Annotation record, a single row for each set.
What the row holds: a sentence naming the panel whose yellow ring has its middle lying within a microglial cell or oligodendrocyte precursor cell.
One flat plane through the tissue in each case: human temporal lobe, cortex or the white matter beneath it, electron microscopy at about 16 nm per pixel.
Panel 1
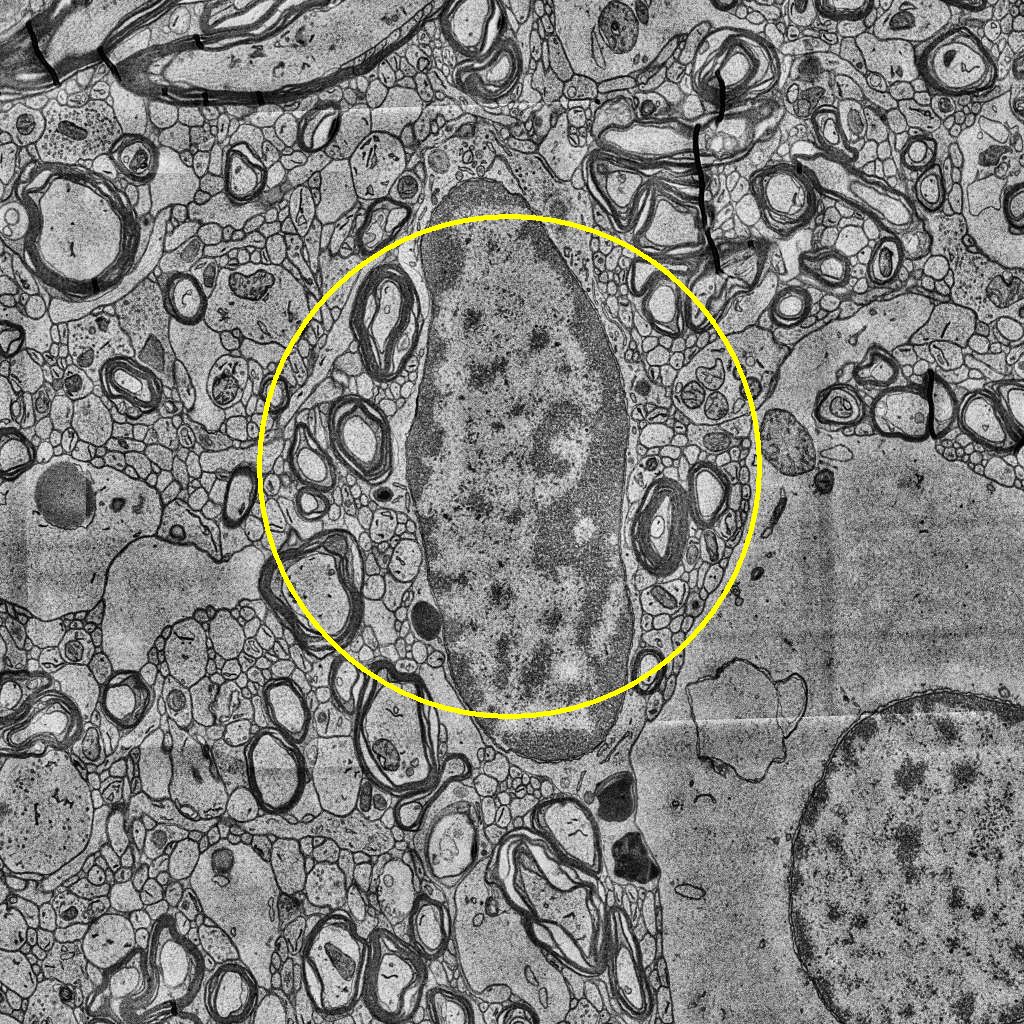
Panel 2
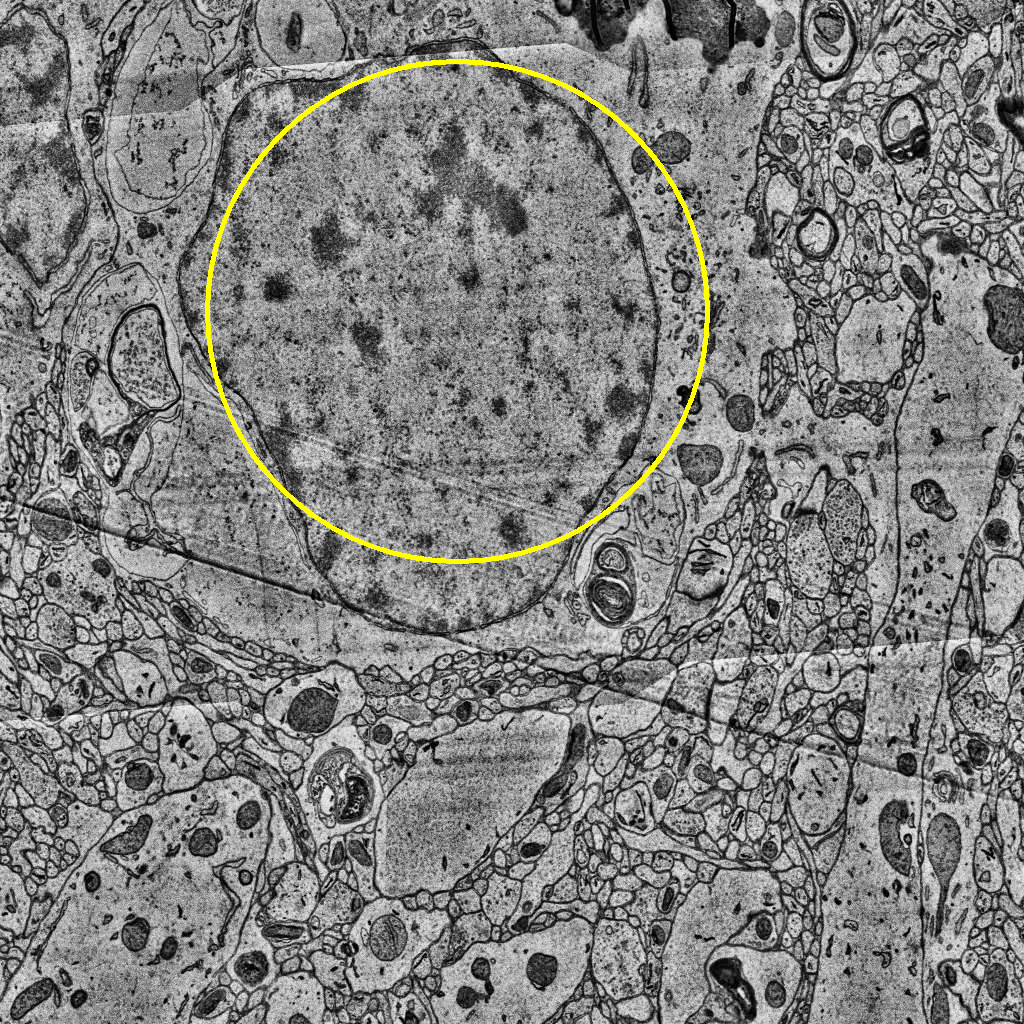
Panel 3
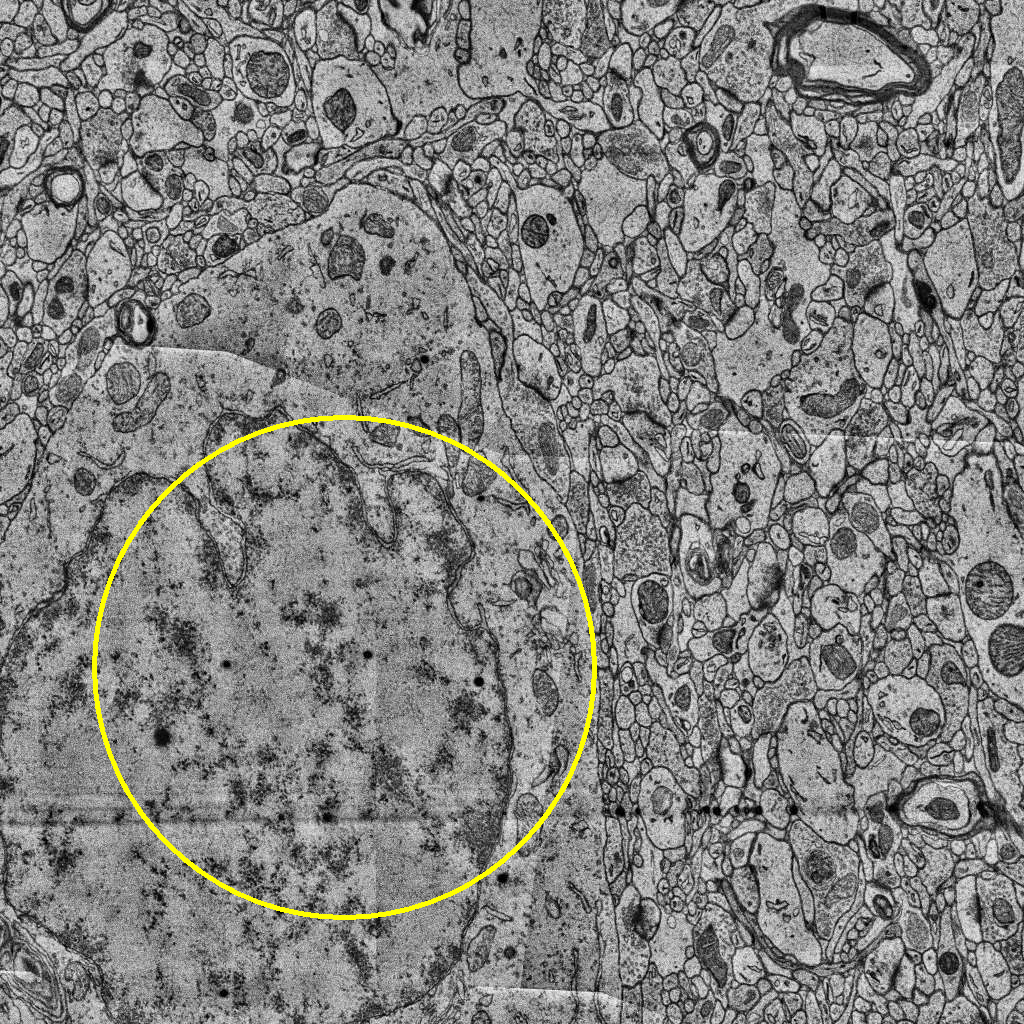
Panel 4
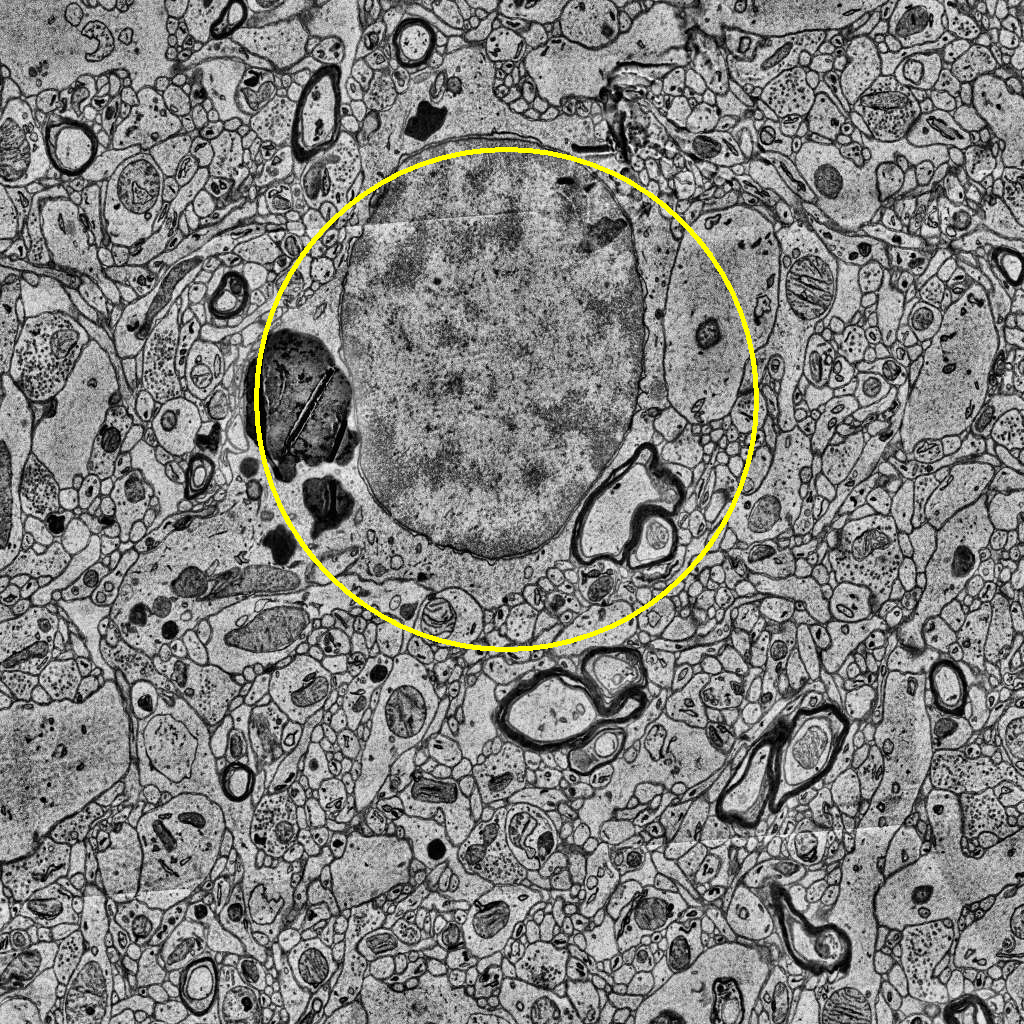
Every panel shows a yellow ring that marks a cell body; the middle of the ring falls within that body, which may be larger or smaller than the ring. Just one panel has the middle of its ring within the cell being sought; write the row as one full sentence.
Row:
In panel 1, the middle of the yellow ring lies within the cell that is sought.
